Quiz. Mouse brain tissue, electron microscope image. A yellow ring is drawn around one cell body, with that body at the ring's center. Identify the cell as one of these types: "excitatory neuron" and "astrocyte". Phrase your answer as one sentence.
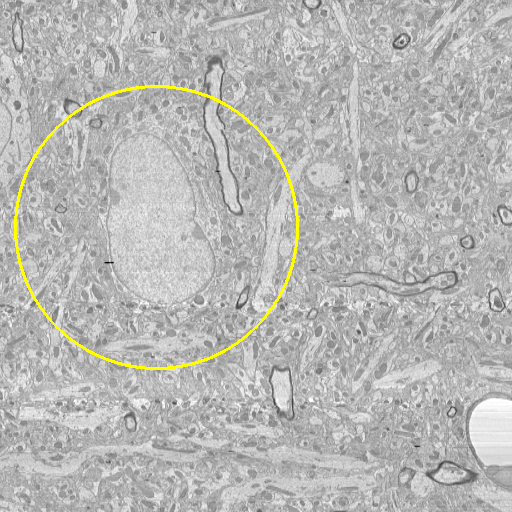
At the center of the ring sits an astrocyte.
